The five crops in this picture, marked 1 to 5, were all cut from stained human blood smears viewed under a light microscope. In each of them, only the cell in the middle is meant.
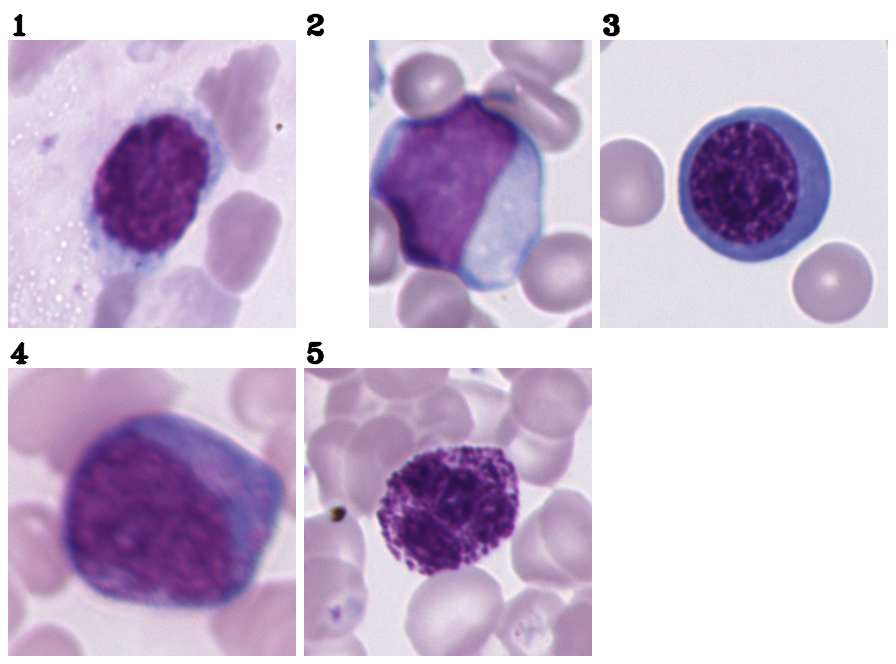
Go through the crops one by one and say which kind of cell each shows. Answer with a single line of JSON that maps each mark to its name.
{"1": "hairy cell", "2": "myeloblast", "3": "normoblast", "4": "promyelocyte", "5": "basophil"}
